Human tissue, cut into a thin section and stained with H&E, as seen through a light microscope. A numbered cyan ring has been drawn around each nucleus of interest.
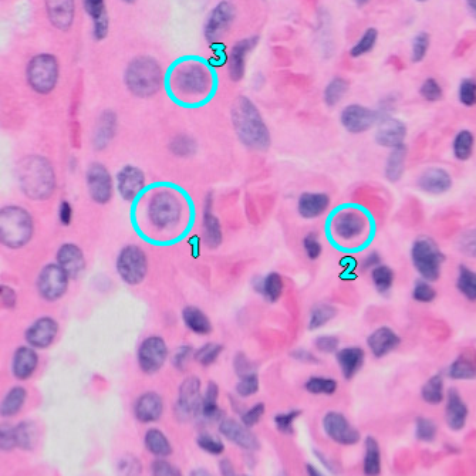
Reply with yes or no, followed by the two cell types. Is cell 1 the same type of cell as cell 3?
Yes, the two cells marked 1 and 3 are both loop of Henle or distal tubule cells.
